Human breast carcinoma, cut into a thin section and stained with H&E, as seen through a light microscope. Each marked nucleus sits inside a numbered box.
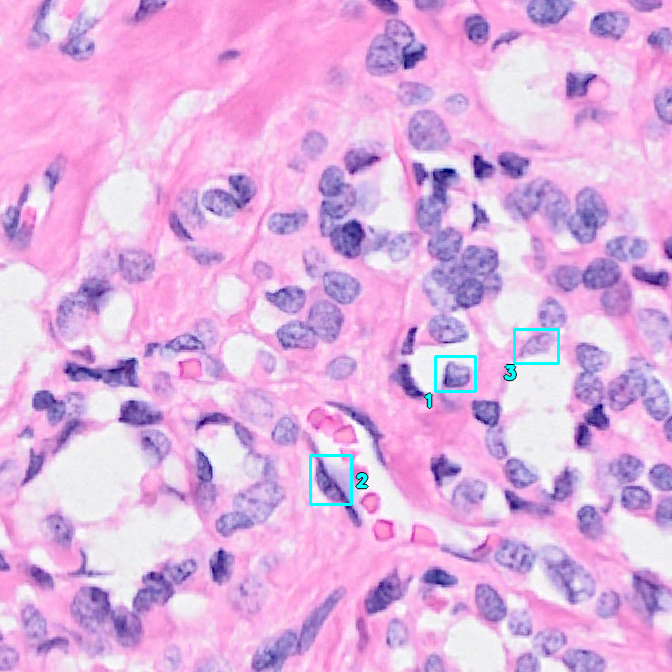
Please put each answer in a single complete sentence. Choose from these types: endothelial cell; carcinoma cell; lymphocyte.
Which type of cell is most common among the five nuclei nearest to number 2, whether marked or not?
Endothelial cells account for more than half of the five nuclei nearest to number 2.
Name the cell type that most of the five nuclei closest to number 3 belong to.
Of the five nuclei nearest to number 3, most belong to carcinoma cells.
